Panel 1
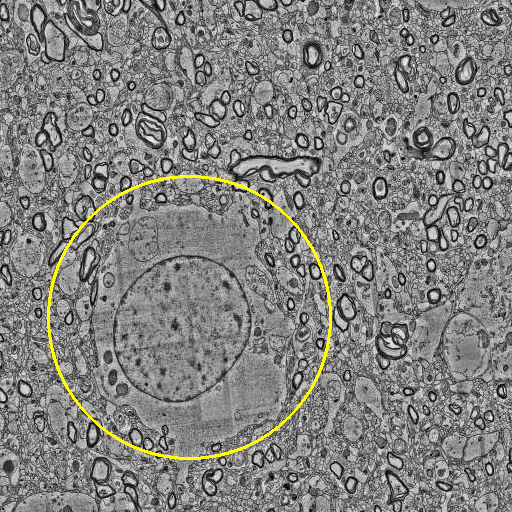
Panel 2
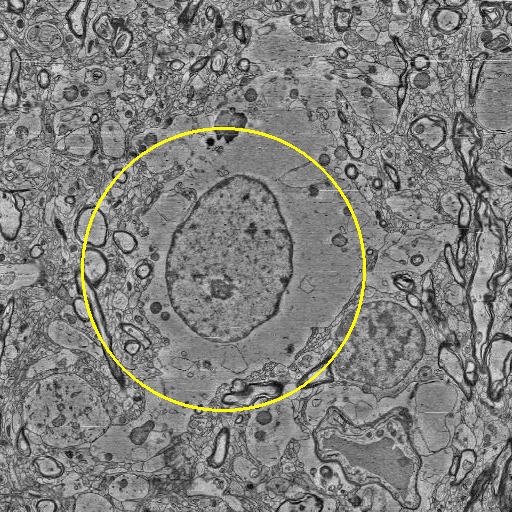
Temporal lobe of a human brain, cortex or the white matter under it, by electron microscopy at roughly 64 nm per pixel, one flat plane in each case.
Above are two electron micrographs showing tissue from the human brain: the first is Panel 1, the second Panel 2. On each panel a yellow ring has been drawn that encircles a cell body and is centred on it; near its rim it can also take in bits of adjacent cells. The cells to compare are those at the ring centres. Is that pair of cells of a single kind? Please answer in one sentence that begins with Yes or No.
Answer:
Yes, the ring-centred cells of Panel 1 and Panel 2 belong to one kind.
